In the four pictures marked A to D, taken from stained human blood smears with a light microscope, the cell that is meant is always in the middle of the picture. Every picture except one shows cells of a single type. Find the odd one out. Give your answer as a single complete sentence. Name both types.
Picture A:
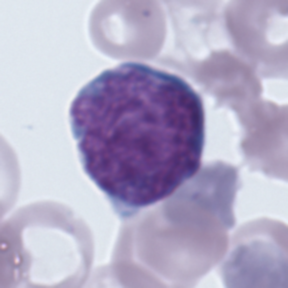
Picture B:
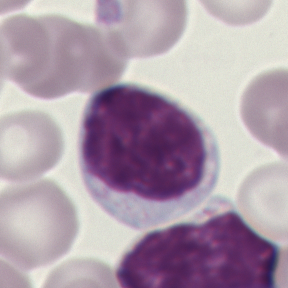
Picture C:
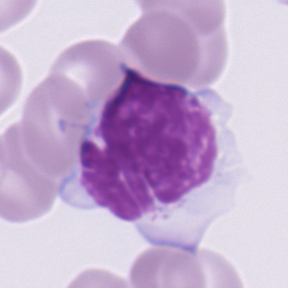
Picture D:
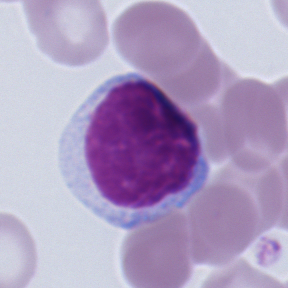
Unlike the rest, which show large granular lymphocytes, picture A shows a myeloblast.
